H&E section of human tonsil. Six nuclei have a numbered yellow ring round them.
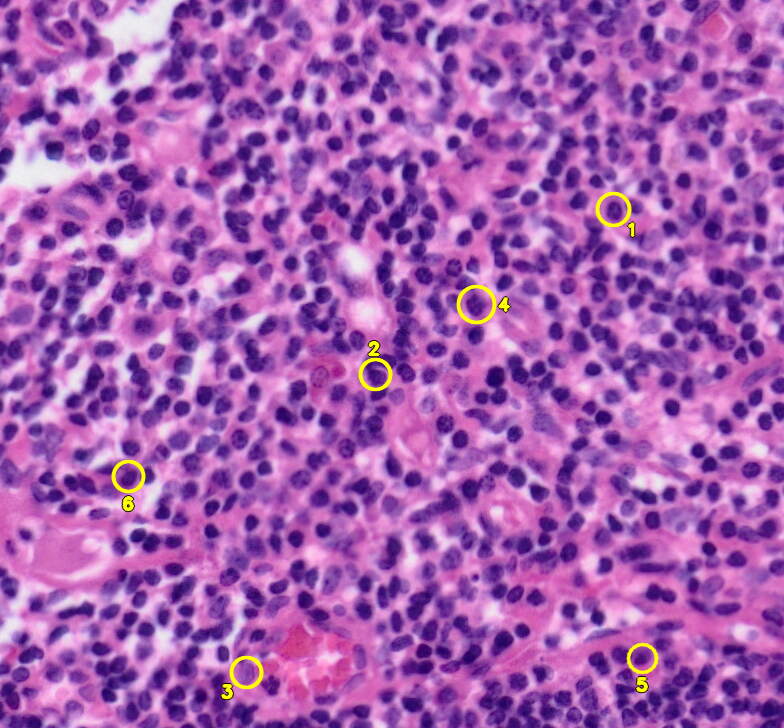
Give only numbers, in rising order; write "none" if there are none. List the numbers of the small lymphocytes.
2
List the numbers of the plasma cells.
1, 4, 6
